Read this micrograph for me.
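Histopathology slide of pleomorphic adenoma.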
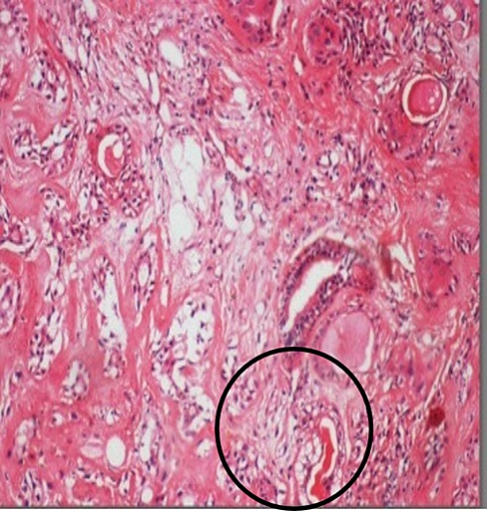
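Small round and elongated tubules are lined by one or two layers of cuboidal cells with round purple nuclei. Between the tubules lies a dense pink fibrous stroma. In some places paler, cleared cells and small empty spaces are mixed with the ducts. A circle at the lower middle surrounds a cluster of small ducts, one of them filled with bright red material.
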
